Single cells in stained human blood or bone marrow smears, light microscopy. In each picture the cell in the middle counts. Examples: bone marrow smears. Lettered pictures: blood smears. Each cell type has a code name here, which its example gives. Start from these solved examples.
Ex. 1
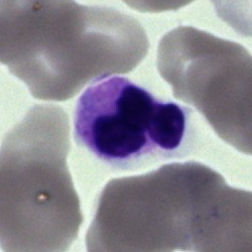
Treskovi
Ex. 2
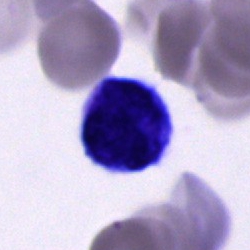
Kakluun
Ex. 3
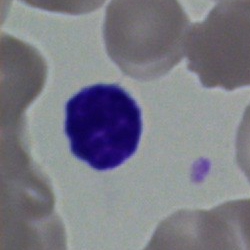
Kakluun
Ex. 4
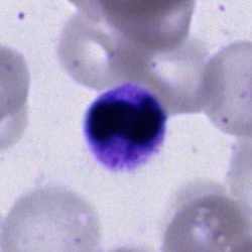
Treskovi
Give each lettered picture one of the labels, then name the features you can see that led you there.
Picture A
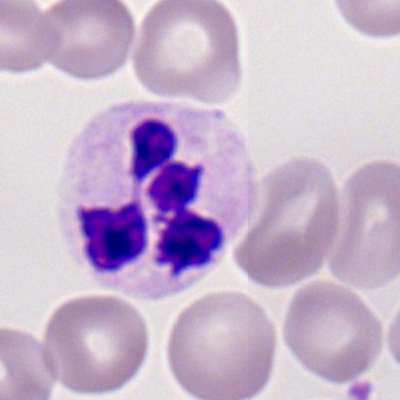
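Treskovi: The nucleus is divided into four separate lobes.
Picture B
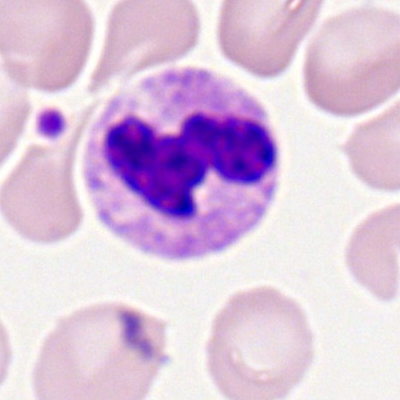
Treskovi: The cytoplasm is plentiful and pale pinkish-lilac.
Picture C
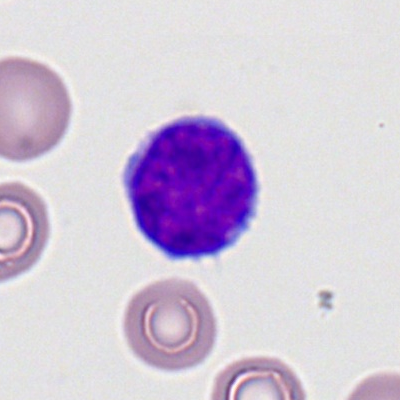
Kakluun: Only a very thin rim of cytoplasm is visible around the nucleus.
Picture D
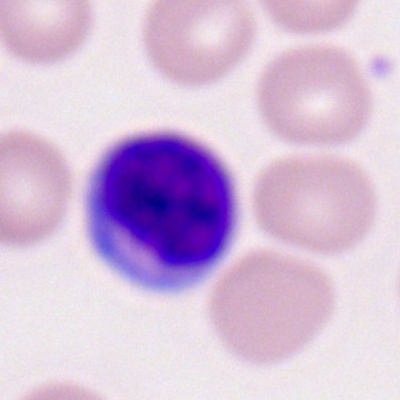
Kakluun: The cytoplasm is scant, a thin rim widening into a crescent at the lower left.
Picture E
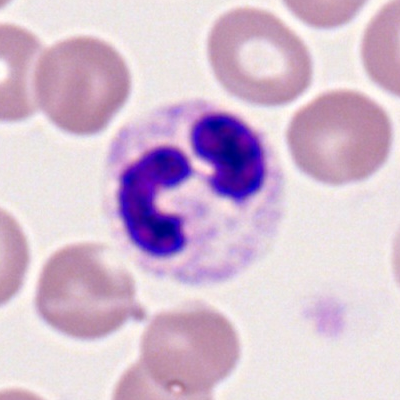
Treskovi: The nucleus is divided into two separate lobes.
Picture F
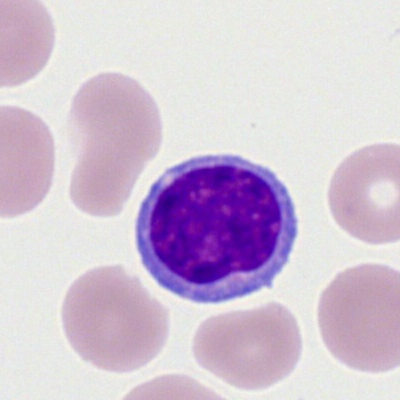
Kakluun: The nucleus fills most of the cell.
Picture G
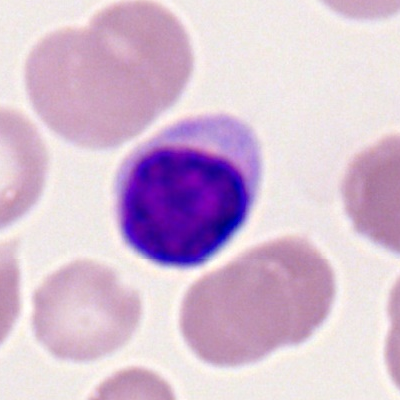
Kakluun: The cytoplasm is a scant pale blue rim, widest at the top of the cell.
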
